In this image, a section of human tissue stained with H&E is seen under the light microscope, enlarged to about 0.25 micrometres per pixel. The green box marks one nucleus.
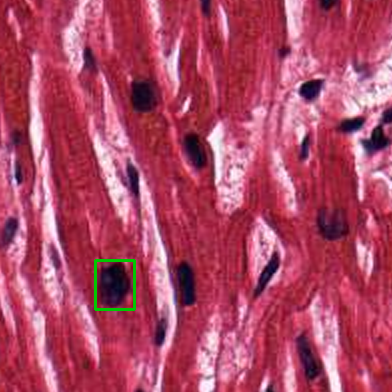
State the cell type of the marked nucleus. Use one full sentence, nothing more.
As shown, the marked nucleus belongs to a cardiomyocyte.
